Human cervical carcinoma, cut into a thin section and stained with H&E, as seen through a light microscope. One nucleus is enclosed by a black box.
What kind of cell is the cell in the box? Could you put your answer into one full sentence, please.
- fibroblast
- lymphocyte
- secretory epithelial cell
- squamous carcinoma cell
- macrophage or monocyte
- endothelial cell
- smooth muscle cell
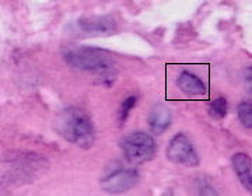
Labelled by cell type, the cell in the box is a squamous carcinoma cell.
